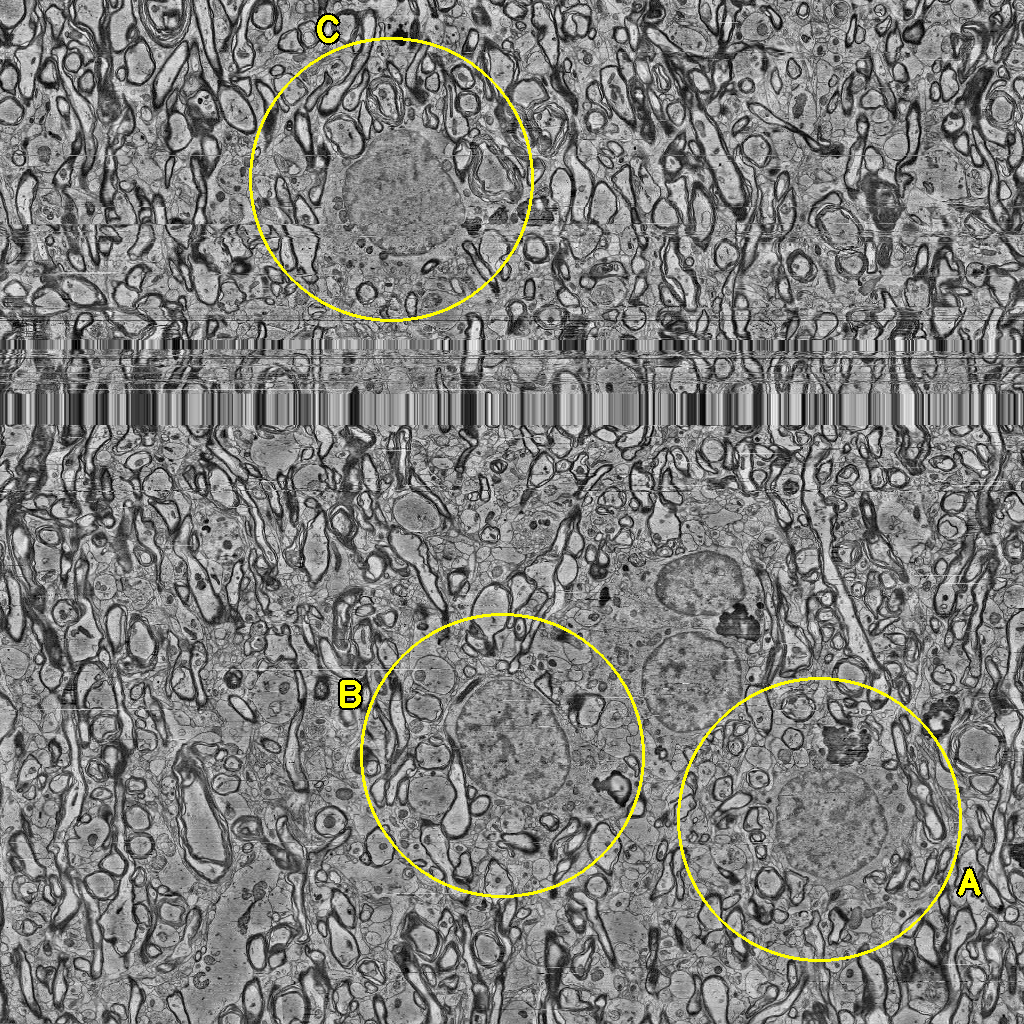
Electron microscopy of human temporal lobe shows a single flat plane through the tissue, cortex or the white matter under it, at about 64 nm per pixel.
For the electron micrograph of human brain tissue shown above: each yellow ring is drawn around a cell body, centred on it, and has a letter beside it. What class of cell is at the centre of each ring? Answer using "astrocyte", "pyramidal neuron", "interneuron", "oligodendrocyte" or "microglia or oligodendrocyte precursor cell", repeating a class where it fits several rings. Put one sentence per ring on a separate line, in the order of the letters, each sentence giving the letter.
At ring A, the central cell is an oligodendrocyte.
At ring B, the central cell is an oligodendrocyte.
At ring C, the central cell is an oligodendrocyte.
